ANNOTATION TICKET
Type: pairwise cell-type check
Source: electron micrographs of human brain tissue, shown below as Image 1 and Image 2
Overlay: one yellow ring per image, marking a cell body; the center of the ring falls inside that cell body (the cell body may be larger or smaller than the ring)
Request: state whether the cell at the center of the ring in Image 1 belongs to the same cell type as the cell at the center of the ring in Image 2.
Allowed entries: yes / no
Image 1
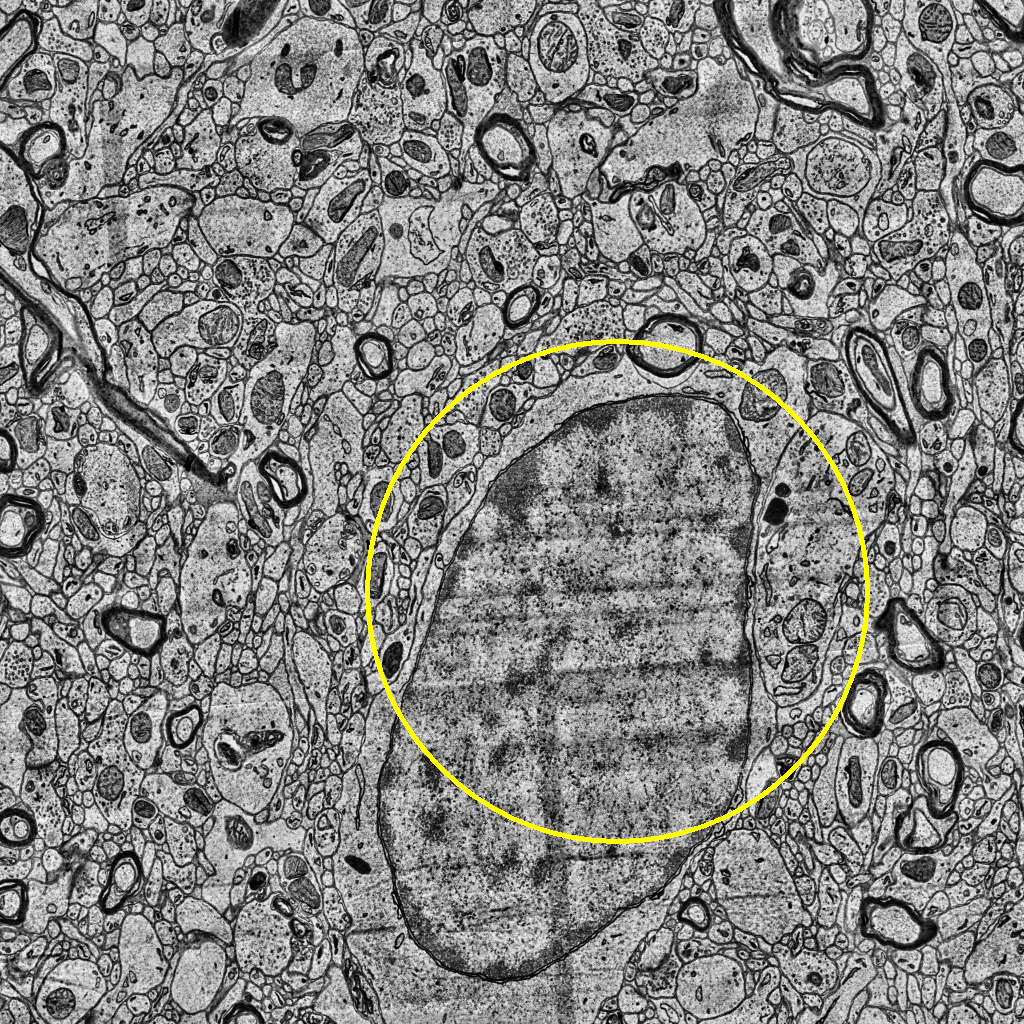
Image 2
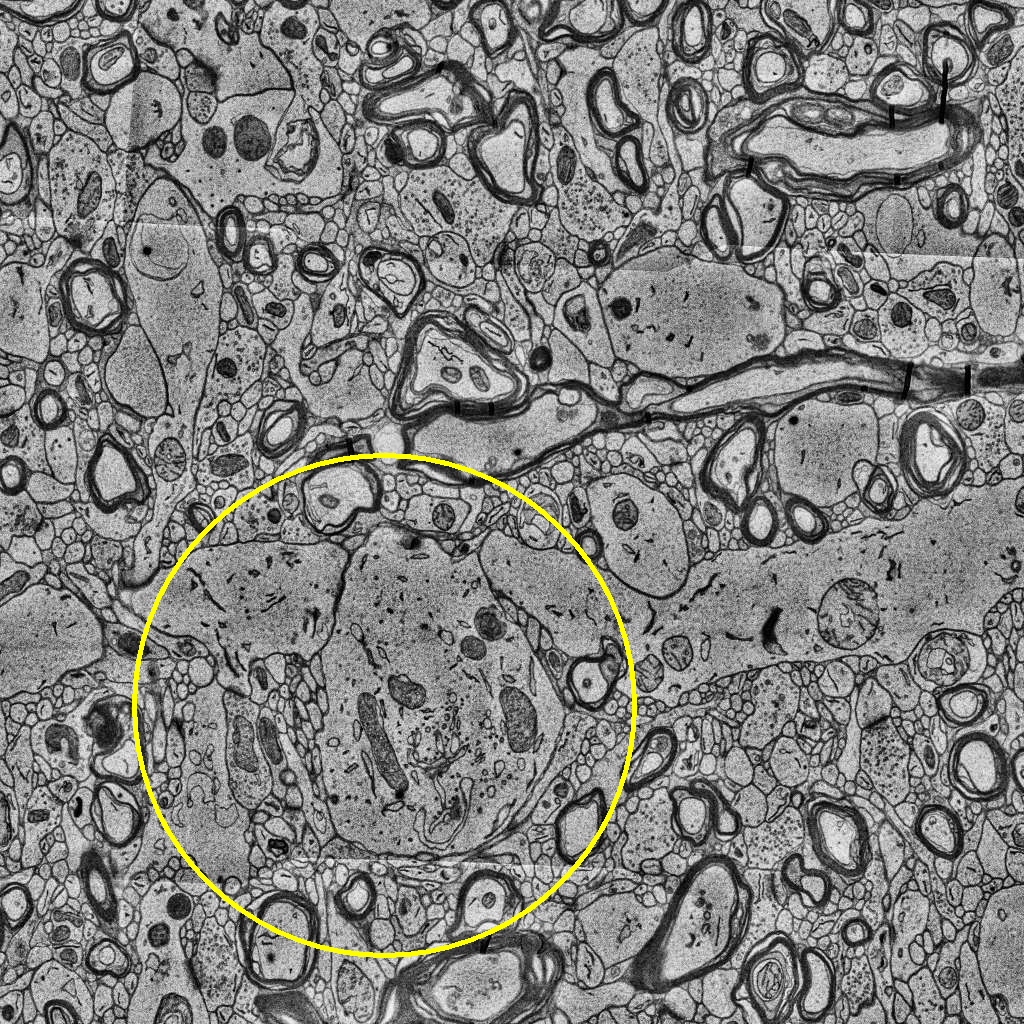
yes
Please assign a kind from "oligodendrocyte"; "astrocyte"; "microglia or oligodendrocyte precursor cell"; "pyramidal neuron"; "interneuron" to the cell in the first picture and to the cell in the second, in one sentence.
Each of the two cells is a microglial cell or oligodendrocyte precursor cell.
